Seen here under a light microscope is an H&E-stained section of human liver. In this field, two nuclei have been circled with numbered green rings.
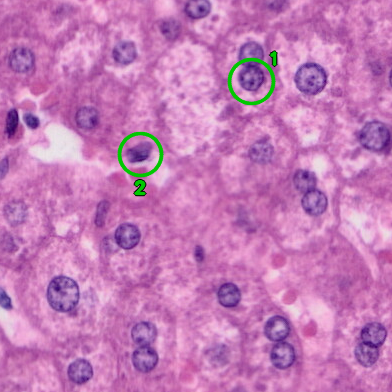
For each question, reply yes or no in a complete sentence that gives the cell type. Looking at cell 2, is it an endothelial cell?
Yes, the numbered cell 2 is an endothelial cell.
